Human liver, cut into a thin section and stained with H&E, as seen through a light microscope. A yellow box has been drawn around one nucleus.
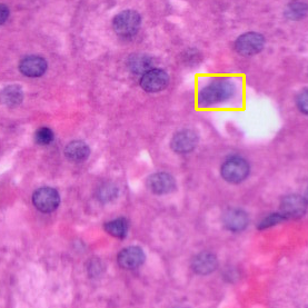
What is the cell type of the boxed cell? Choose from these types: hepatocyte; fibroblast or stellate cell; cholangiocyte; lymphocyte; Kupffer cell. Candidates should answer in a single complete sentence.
In this preparation, the boxed cell is a Kupffer cell.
